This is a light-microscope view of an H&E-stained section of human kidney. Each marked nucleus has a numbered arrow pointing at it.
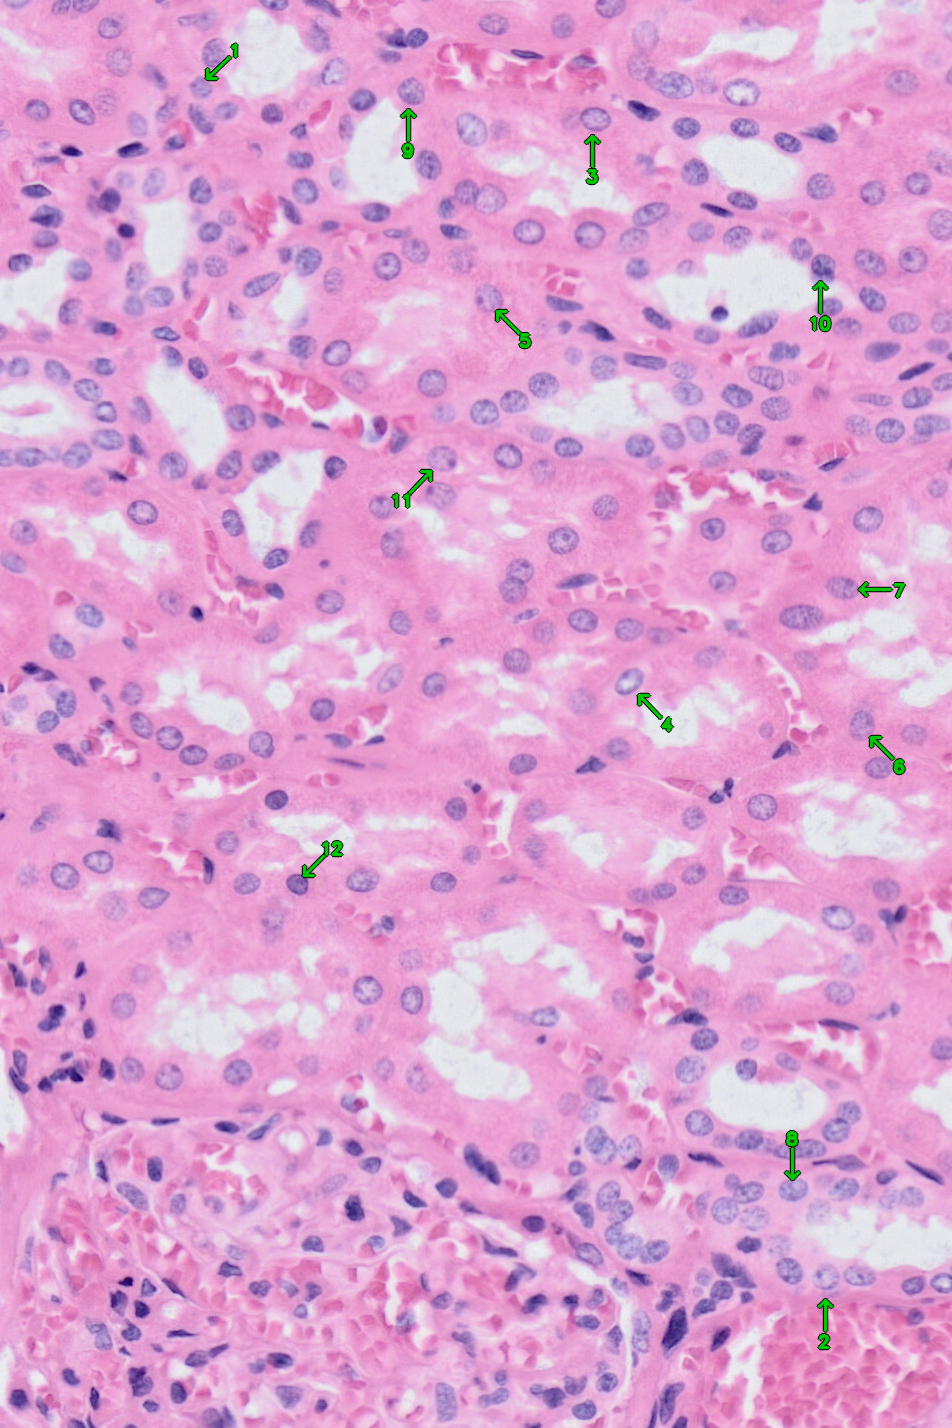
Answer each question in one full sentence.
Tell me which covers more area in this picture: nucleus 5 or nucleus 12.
Nucleus 5 is the larger one, covering about 1.5 times the area of nucleus 12.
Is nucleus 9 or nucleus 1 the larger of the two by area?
At about 1.5 times the area of nucleus 1, nucleus 9 is the larger of the two.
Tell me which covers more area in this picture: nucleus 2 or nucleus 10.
It is nucleus 2, which covers about 1.5 times the area of nucleus 10.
